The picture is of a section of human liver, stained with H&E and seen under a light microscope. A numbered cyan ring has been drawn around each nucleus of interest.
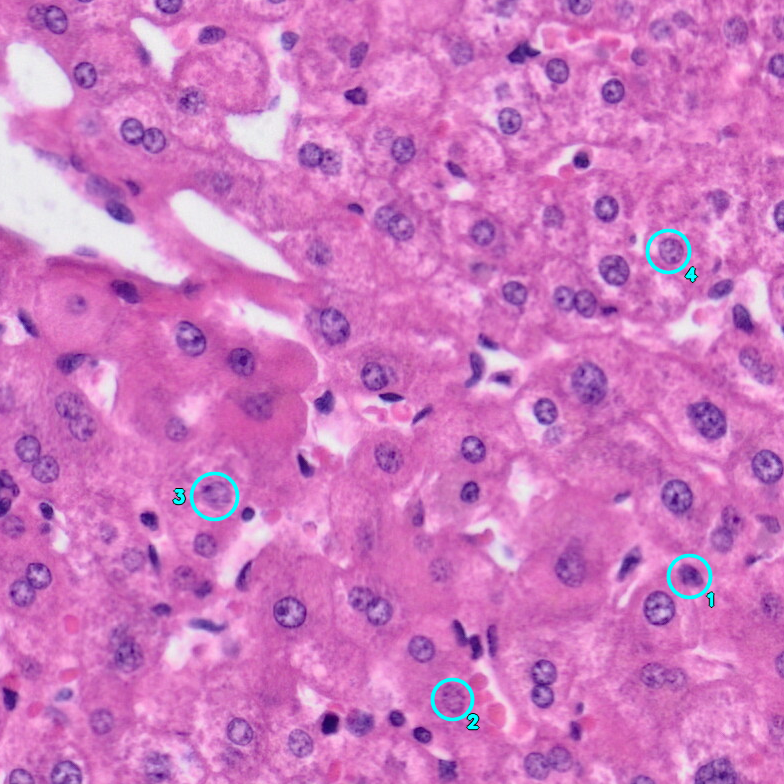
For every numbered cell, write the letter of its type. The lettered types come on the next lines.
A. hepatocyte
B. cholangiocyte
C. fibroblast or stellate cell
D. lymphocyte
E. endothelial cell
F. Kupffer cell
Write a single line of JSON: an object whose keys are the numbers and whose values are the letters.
{"1": "E", "2": "A", "3": "A", "4": "A"}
